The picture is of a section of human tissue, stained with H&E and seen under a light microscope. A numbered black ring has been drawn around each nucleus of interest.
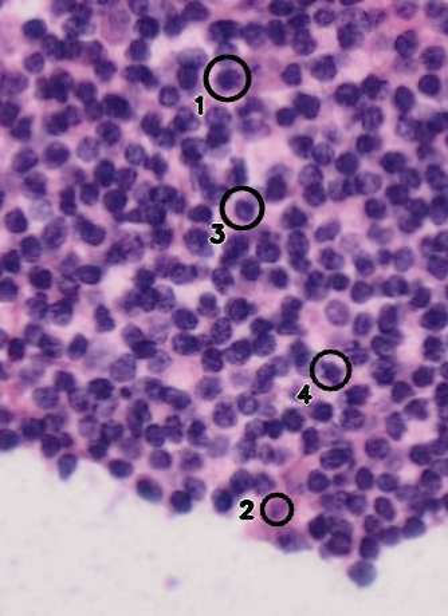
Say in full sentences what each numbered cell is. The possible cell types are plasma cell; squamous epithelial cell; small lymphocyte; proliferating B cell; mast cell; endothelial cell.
Cells 1, 3 and 4 are small lymphocytes. Cell 2 is an endothelial cell.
